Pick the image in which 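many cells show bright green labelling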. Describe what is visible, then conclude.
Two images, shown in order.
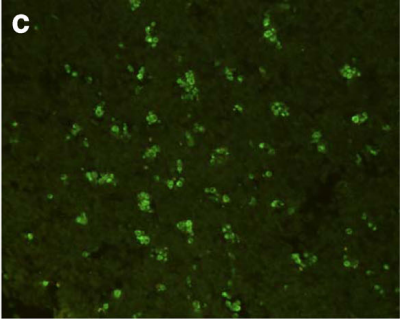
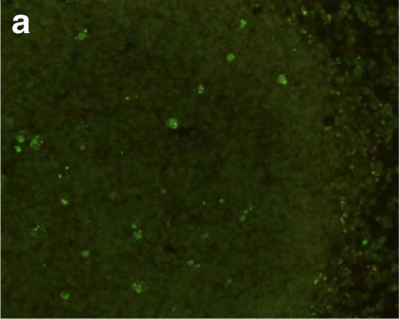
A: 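The first image. First image: dozens of bright green clusters spread across the field. Second image: only a few scattered small green spots.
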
